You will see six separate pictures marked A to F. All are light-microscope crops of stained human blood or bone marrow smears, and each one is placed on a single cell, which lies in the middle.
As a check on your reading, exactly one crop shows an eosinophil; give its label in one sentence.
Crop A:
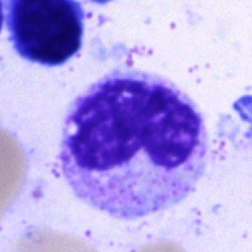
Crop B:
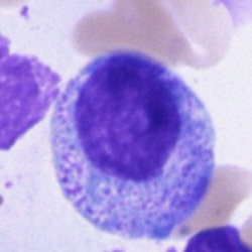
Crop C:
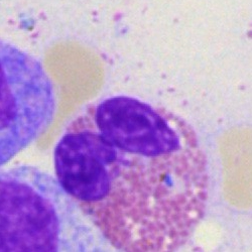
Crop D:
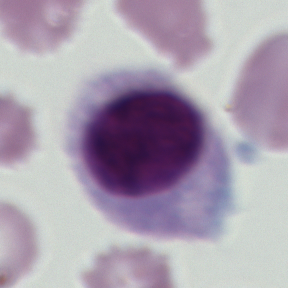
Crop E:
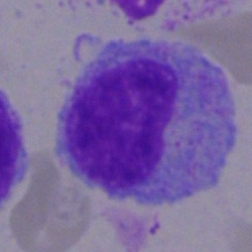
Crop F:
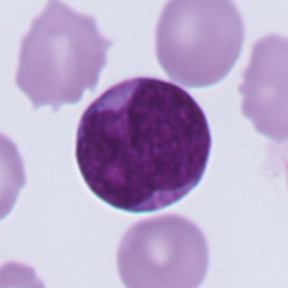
Crop C, of the crops presented, is the one showing an eosinophil.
